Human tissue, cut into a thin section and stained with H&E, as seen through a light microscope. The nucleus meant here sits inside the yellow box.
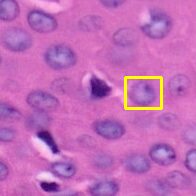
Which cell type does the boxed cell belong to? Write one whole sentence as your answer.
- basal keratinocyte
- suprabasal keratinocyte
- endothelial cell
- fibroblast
This is a suprabasal keratinocyte.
